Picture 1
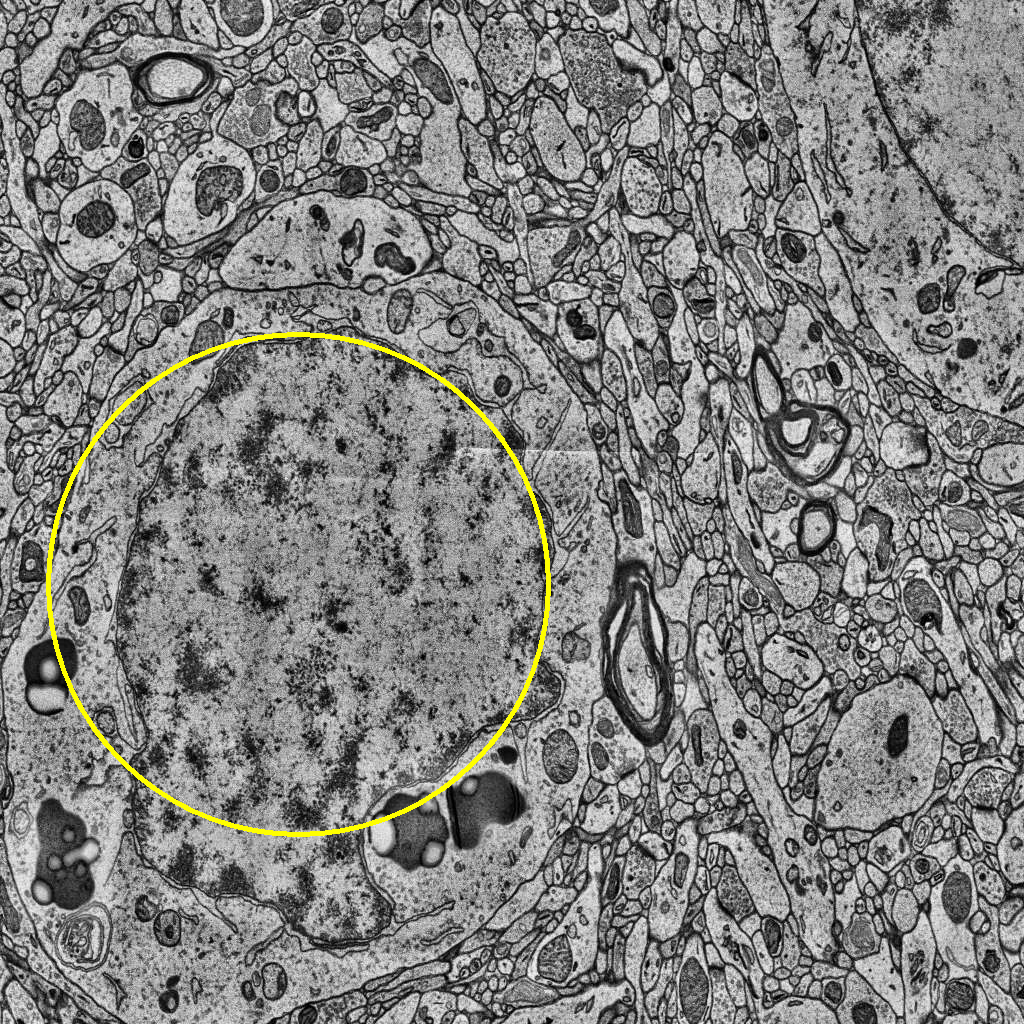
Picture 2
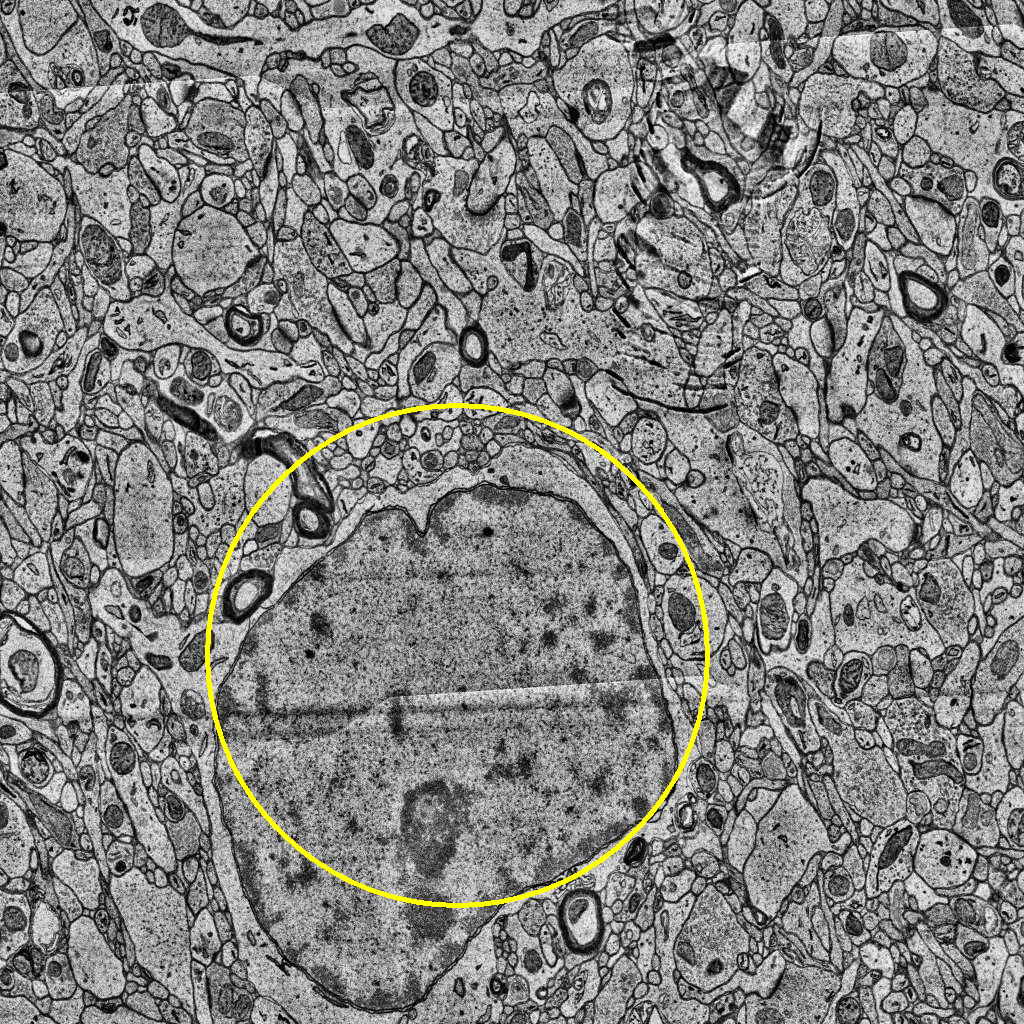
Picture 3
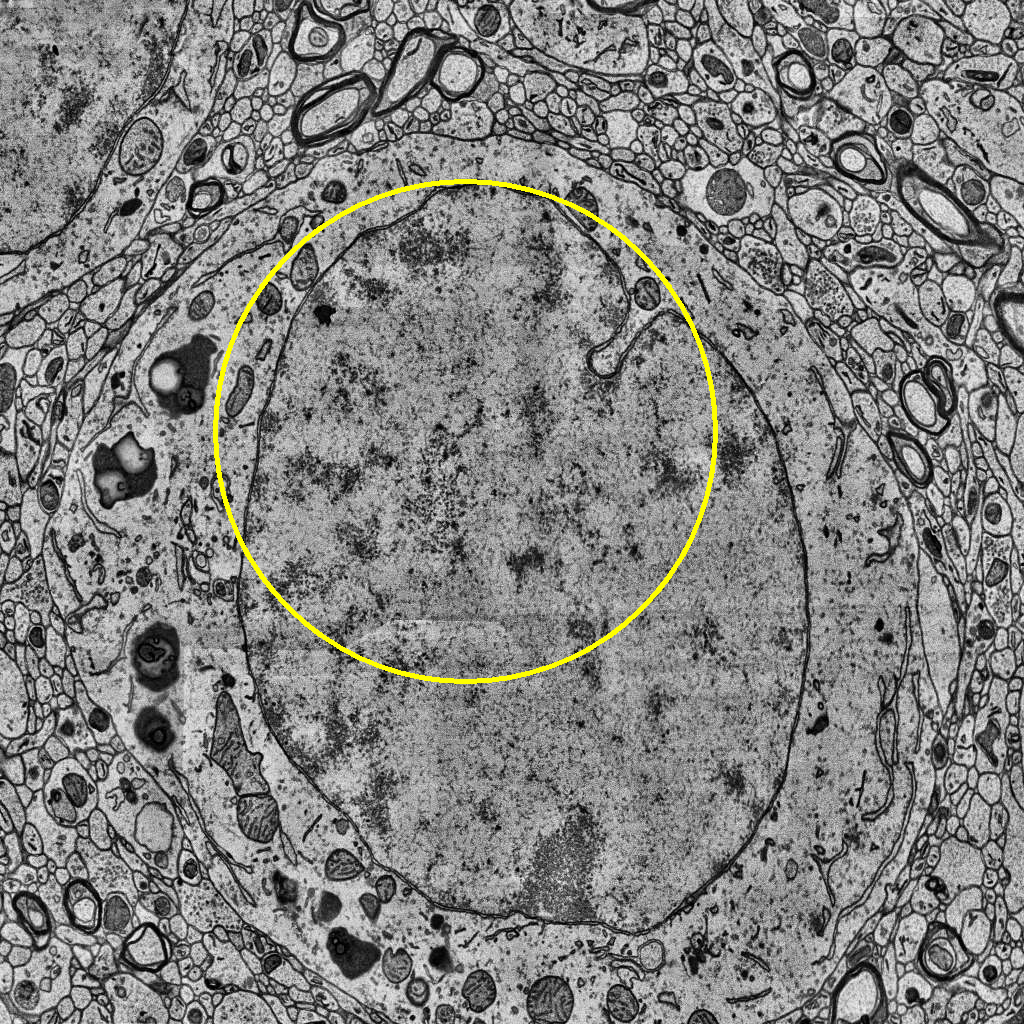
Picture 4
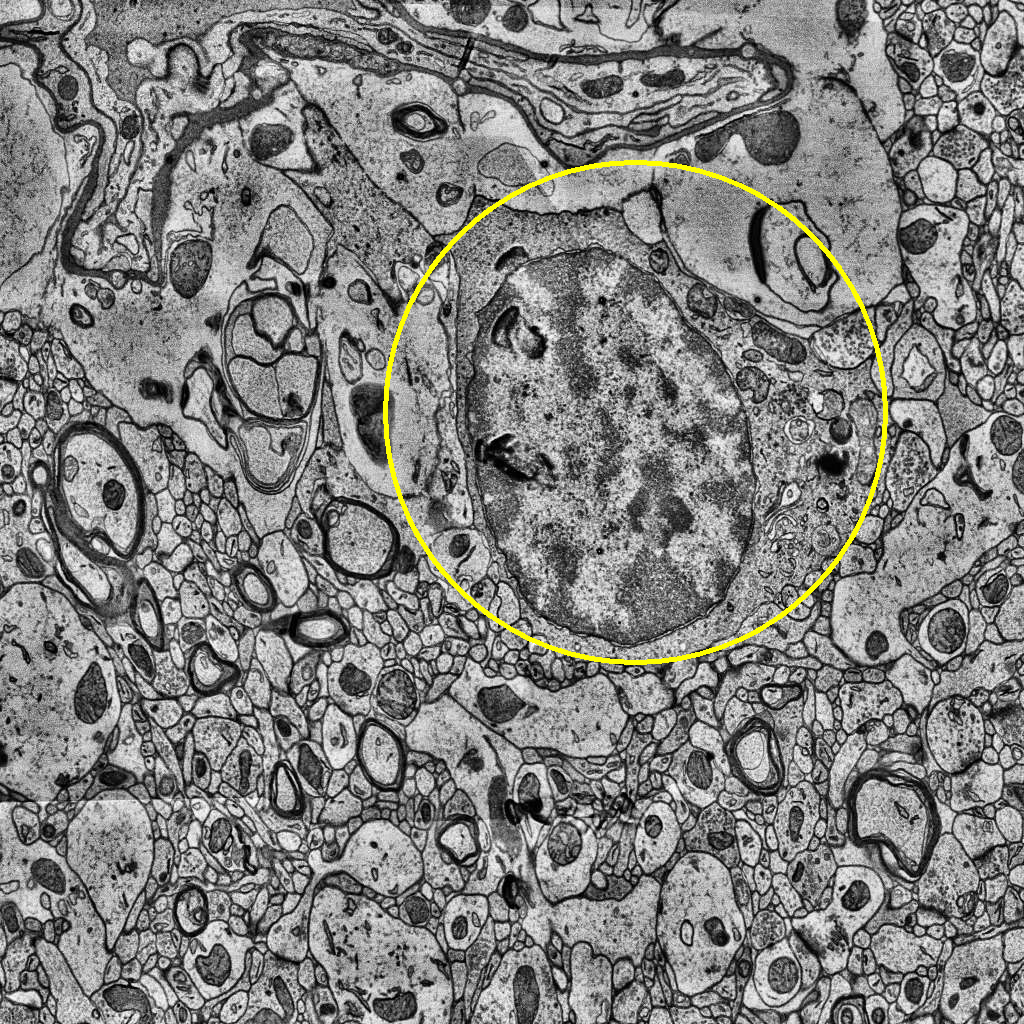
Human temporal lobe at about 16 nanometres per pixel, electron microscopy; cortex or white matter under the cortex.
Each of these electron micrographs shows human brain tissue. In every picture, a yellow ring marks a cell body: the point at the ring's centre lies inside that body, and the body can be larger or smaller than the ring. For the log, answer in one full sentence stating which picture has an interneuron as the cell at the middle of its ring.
In picture 1, the centre of the yellow ring lies inside the requested cell.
